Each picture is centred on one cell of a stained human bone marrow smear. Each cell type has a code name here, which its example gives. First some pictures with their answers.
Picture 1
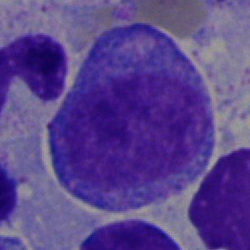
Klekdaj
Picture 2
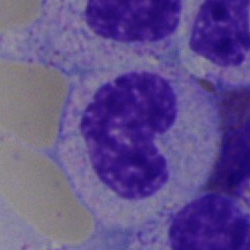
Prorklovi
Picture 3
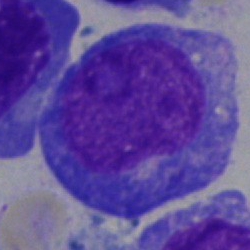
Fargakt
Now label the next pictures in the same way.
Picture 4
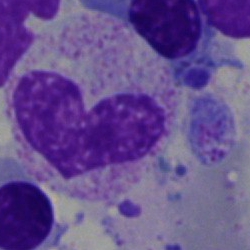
Prorklovi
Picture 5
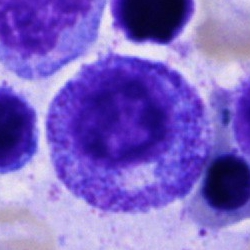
Klekdaj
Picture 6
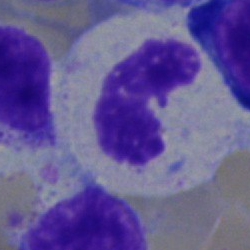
Prorklovi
